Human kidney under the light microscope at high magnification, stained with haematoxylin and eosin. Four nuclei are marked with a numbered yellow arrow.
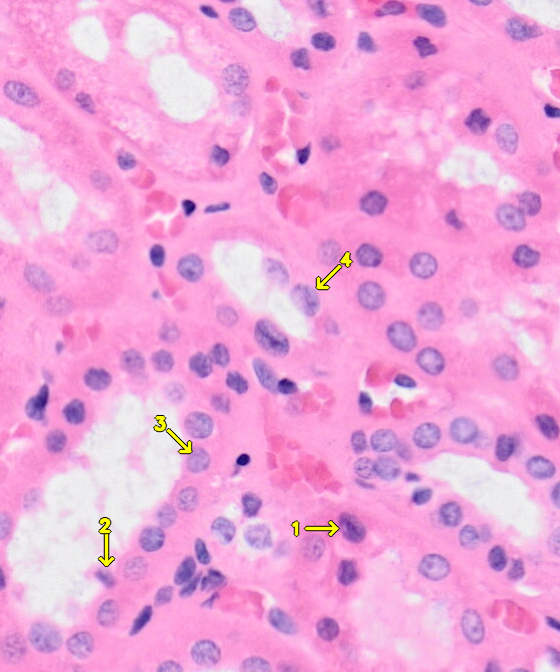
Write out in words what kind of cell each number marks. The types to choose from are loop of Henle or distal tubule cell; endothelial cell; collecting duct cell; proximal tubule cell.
Cell 1 is a proximal tubule cell, cell 2 is a loop of Henle or distal tubule cell, cell 3 is a loop of Henle or distal tubule cell and cell 4 is a loop of Henle or distal tubule cell.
